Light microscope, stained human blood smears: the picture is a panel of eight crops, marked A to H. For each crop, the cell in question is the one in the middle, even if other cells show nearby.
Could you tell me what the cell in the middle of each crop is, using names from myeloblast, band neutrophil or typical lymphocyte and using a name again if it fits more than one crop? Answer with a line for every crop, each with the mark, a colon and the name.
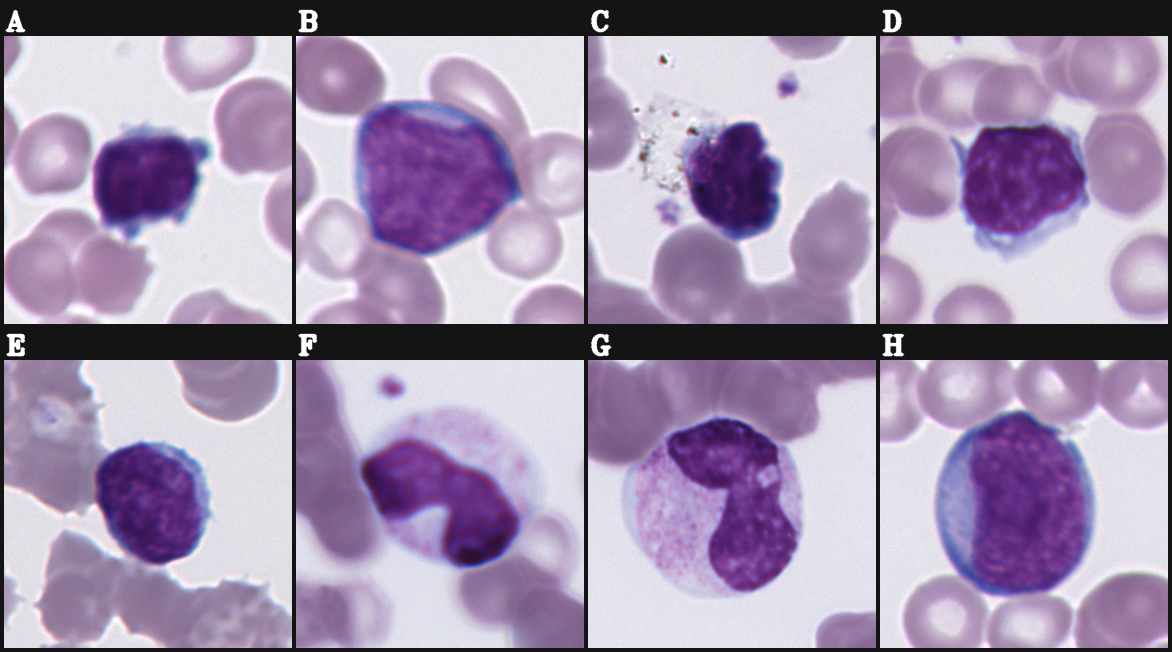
A: typical lymphocyte
B: myeloblast
C: typical lymphocyte
D: typical lymphocyte
E: typical lymphocyte
F: band neutrophil
G: band neutrophil
H: myeloblast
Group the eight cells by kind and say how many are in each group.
typical lymphocyte: 4
myeloblast: 2
band neutrophil: 2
